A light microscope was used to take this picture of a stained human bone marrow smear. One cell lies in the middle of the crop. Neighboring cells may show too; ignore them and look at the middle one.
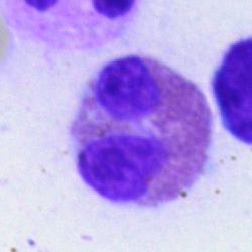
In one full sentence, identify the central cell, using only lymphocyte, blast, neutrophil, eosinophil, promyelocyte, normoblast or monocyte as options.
This crop is built around an eosinophil at its centre.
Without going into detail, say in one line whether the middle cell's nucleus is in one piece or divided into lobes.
The nucleus has been partitioned into two or more lobes.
